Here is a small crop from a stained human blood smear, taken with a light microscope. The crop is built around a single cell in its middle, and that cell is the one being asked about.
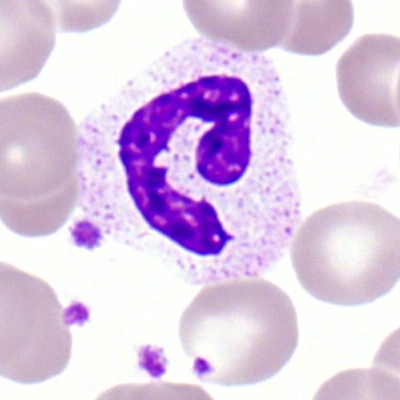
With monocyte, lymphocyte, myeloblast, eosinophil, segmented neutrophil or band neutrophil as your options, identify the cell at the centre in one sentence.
The cell centred in this crop is categorized as a band neutrophil.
